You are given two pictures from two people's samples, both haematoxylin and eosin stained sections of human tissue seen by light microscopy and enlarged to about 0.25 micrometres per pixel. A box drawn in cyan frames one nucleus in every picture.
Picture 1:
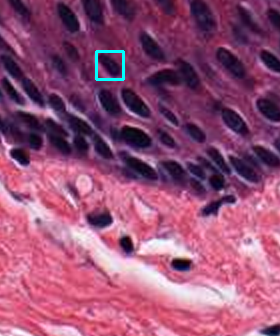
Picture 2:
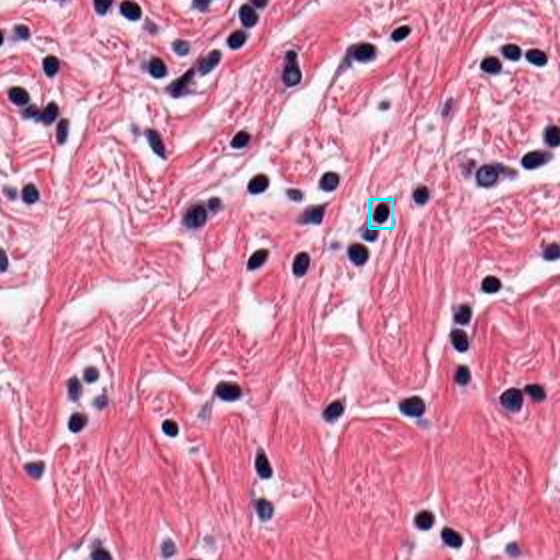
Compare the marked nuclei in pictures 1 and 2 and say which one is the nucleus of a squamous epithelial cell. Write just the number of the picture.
1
